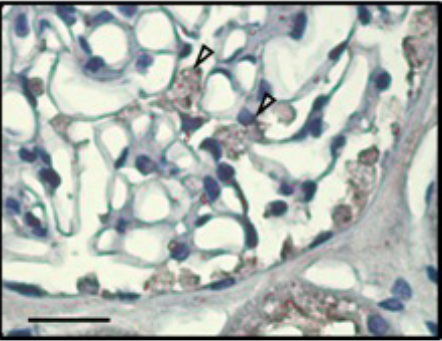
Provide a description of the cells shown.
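This is a higher view of the inside of a glomerular tuft from kidney cortex, with many thin-walled capillary loops separated by pale spaces. Dark blue oval nuclei sit along the loops. A few cells on the outer sides of the loops carry granular brown deposits in their cytoplasm, two of them marked by open arrowheads. The lower right edge shows a band of pale connective tissue at the border of the tuft.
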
